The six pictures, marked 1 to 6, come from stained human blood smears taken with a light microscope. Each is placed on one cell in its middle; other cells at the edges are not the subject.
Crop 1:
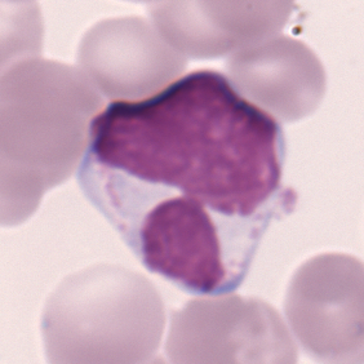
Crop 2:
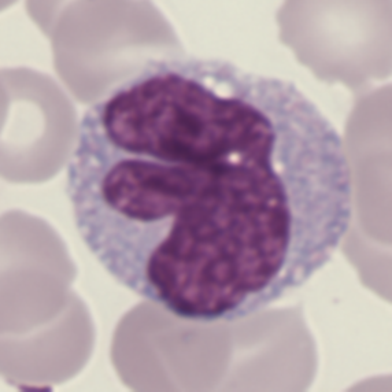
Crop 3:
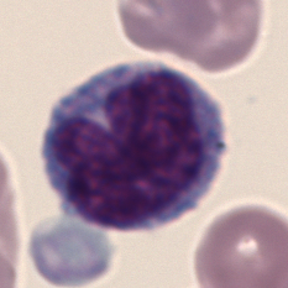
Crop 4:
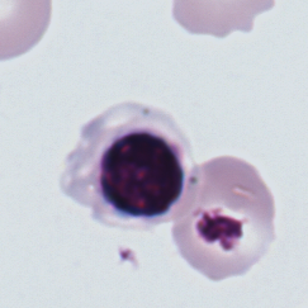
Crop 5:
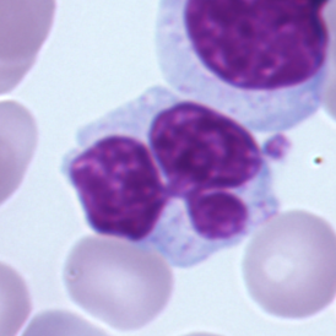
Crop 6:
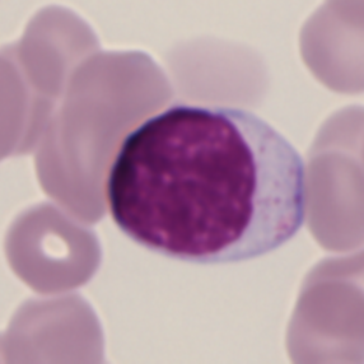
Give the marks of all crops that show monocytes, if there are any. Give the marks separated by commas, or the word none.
2, 3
